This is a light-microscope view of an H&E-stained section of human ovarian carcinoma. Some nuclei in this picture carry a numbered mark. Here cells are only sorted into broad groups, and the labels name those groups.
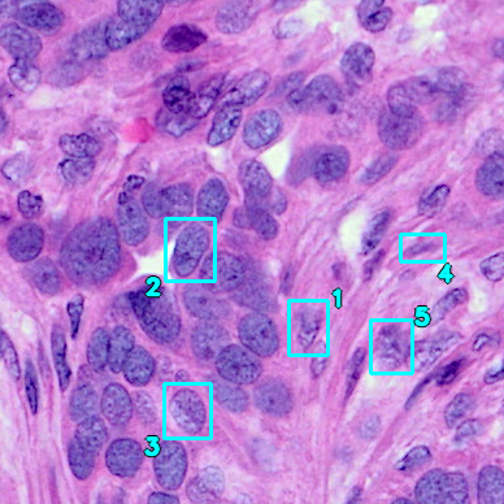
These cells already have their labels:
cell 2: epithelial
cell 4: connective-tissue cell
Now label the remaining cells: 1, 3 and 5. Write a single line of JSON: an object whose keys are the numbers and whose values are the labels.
{"1": "connective-tissue cell", "3": "epithelial", "5": "connective-tissue cell"}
